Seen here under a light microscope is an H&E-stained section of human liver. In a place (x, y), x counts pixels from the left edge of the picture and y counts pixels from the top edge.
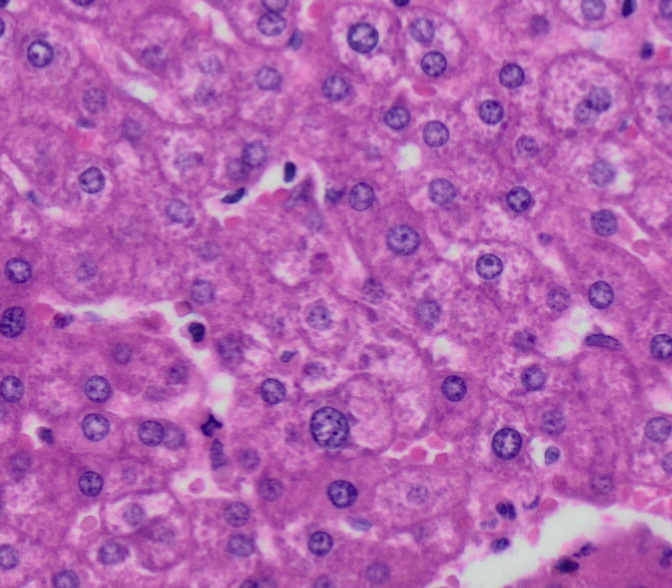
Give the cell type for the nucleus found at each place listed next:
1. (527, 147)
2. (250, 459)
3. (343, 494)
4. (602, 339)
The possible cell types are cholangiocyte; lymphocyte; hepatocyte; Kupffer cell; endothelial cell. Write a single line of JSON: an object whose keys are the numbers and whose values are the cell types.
{"1": "hepatocyte", "2": "hepatocyte", "3": "hepatocyte", "4": "Kupffer cell"}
